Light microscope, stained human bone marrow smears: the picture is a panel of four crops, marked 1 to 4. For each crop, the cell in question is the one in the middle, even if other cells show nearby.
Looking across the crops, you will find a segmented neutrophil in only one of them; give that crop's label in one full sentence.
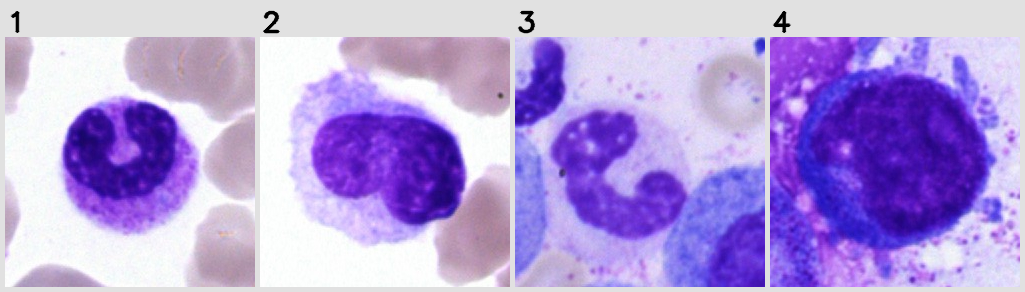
Crop 1 matches the request, showing a segmented neutrophil.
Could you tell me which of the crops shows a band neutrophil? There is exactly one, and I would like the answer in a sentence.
It is the cell in crop 3 that is a band neutrophil.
